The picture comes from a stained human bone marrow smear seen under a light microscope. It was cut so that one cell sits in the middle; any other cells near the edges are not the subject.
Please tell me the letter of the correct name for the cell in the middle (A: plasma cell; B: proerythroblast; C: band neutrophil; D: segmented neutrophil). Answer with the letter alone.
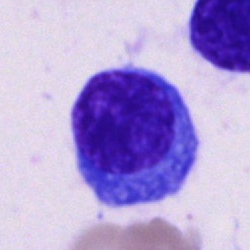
A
